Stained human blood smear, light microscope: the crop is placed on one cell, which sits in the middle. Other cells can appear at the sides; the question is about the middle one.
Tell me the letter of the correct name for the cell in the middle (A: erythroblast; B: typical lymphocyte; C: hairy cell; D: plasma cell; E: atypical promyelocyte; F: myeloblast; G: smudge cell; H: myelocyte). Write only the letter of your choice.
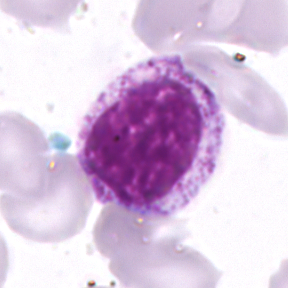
H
